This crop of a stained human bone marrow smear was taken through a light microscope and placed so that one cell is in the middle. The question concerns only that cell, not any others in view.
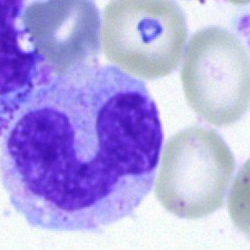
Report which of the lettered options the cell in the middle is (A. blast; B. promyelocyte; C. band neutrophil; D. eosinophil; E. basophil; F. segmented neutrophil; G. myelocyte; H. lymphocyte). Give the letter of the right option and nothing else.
C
